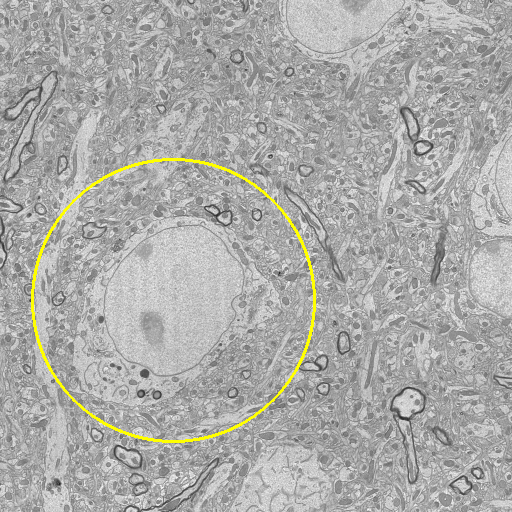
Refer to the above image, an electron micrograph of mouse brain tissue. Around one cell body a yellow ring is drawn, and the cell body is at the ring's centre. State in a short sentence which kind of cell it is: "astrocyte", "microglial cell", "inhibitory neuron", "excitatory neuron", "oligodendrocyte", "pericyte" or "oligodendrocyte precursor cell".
The centre of the ring falls on an excitatory neuron.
